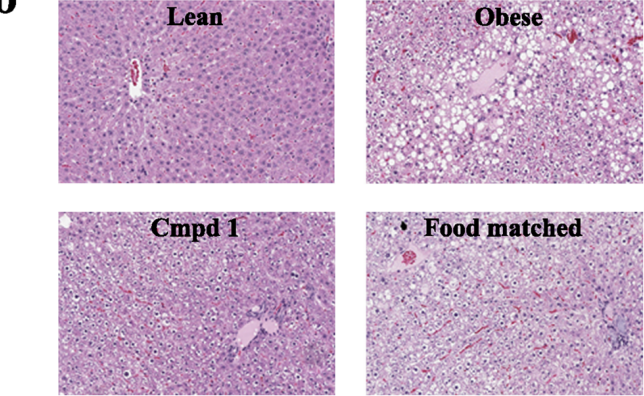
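Four sections of liver stained pink and purple show sheets of hepatocytes with round, purple nuclei around small vessels. In one image the hepatocytes are compact and evenly pink, arranged in cords that radiate from a central vessel. In another, many hepatocytes are filled with large, clear, round vacuoles that push the nucleus aside, giving a bubbly look to the tissue; the remaining two images show fewer or smaller clear spaces.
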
